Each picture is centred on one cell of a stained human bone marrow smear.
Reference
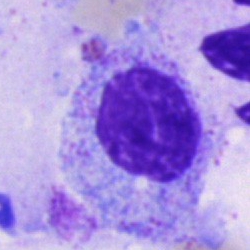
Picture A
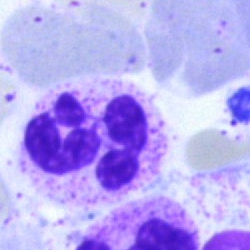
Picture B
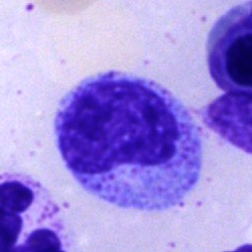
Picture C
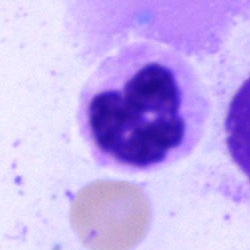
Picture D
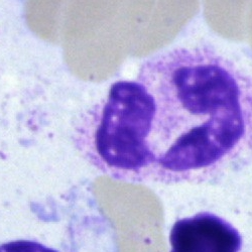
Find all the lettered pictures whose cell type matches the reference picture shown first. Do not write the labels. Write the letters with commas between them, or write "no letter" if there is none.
B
